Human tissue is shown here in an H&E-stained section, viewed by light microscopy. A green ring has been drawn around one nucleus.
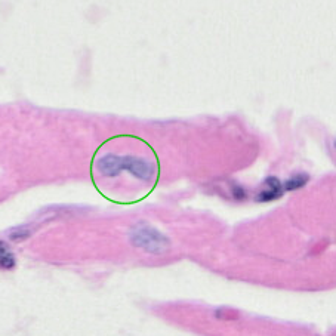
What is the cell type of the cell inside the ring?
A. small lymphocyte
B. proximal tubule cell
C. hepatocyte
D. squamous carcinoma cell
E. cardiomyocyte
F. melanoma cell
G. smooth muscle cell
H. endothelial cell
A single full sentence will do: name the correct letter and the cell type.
Settle on option E; the cell inside the ring is a cardiomyocyte.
